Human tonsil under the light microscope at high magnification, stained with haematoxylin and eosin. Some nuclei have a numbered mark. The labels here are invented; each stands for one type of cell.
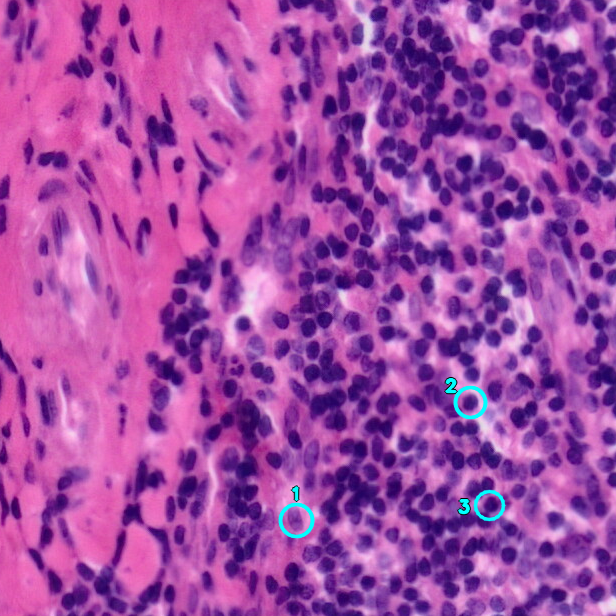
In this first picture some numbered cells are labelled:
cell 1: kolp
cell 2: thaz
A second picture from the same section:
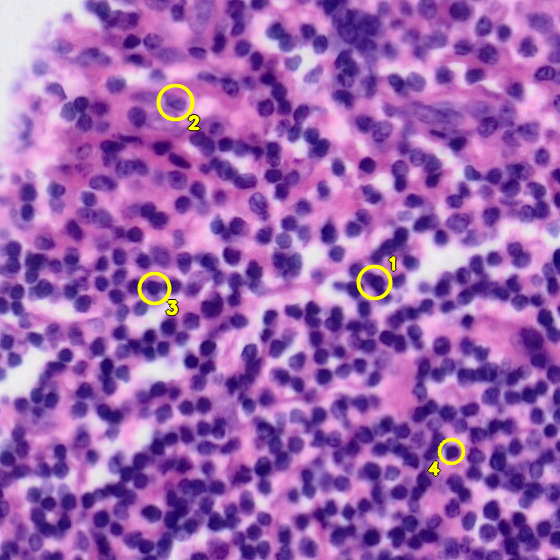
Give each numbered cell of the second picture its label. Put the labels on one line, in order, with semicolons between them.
thaz; kolp; thaz; thaz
